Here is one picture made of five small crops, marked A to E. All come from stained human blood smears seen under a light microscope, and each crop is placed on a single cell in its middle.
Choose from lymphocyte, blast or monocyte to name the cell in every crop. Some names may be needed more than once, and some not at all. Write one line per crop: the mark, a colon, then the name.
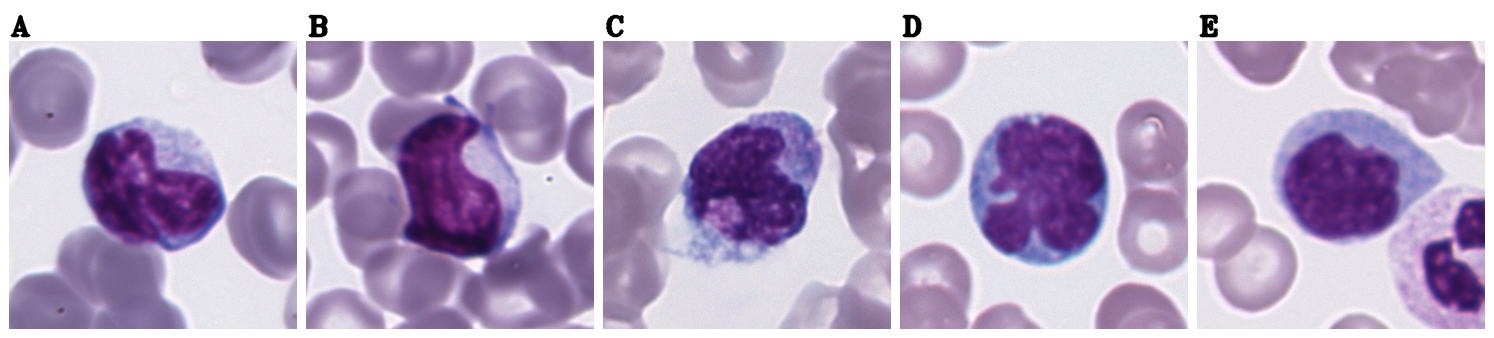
A: lymphocyte
B: lymphocyte
C: monocyte
D: blast
E: monocyte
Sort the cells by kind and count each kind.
lymphocyte: 2
monocyte: 2
blast: 1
